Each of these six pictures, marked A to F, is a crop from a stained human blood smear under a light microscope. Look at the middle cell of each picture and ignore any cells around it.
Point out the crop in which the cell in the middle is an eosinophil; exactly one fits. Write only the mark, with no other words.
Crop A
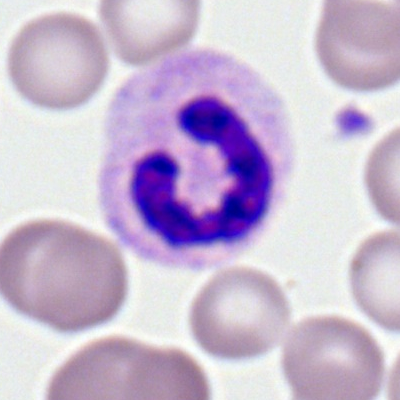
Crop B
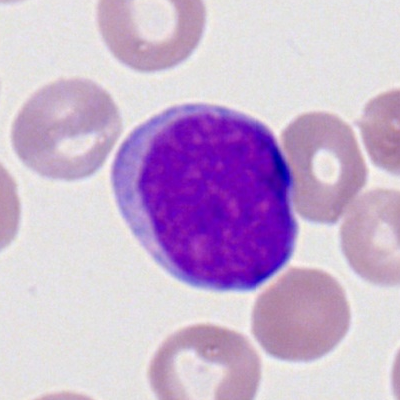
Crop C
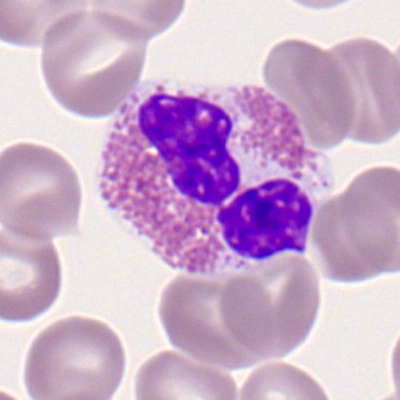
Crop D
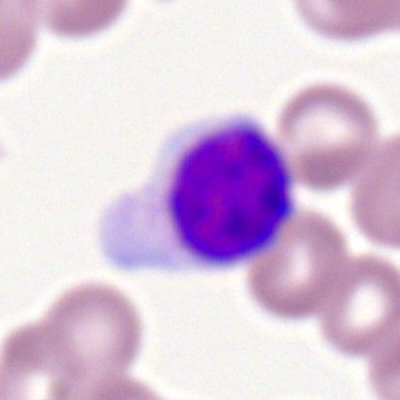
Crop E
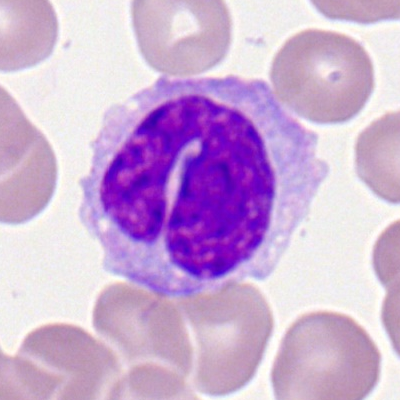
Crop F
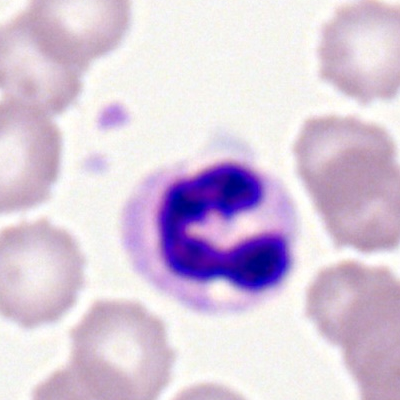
C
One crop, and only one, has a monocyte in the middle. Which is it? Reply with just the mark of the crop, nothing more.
E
